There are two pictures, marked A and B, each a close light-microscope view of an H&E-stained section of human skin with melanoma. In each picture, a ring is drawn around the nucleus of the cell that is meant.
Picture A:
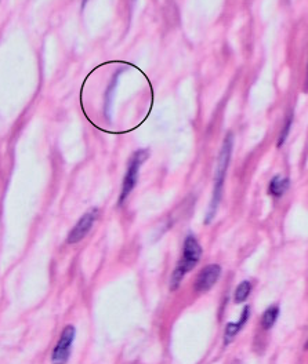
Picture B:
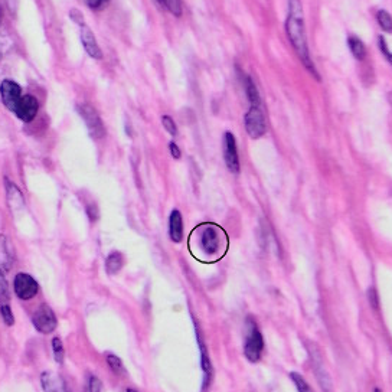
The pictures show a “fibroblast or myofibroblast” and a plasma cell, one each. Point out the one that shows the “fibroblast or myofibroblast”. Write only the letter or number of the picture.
A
